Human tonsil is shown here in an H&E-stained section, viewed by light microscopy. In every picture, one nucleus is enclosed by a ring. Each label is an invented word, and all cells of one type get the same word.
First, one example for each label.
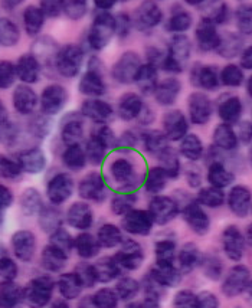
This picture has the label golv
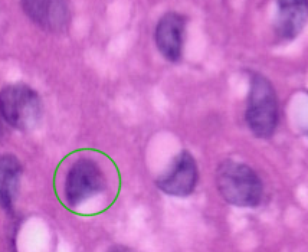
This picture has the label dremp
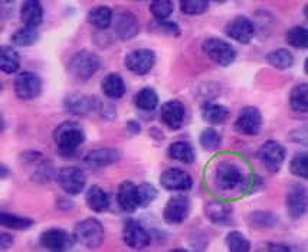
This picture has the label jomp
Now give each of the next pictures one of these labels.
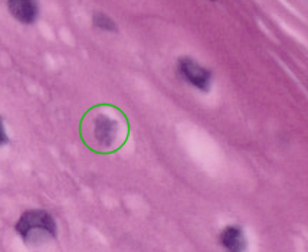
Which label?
dremp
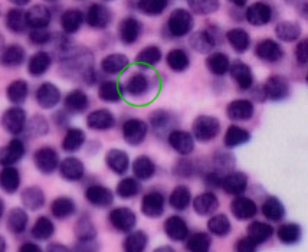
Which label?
golv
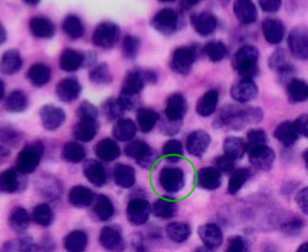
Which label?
golv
